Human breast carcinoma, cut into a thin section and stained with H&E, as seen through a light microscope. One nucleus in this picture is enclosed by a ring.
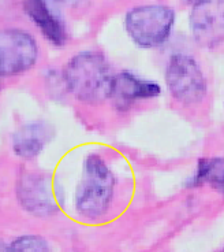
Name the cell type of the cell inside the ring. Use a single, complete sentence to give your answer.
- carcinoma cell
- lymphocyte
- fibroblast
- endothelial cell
In this tissue section, the cell inside the ring is to be classed as a carcinoma cell.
